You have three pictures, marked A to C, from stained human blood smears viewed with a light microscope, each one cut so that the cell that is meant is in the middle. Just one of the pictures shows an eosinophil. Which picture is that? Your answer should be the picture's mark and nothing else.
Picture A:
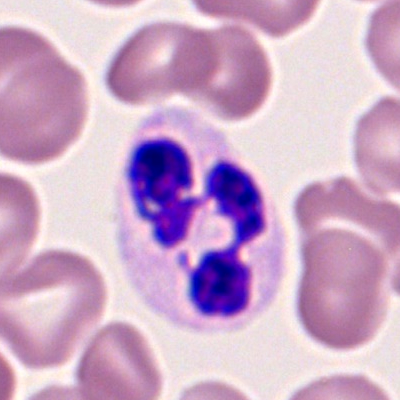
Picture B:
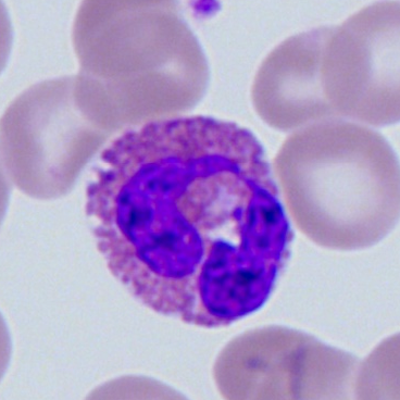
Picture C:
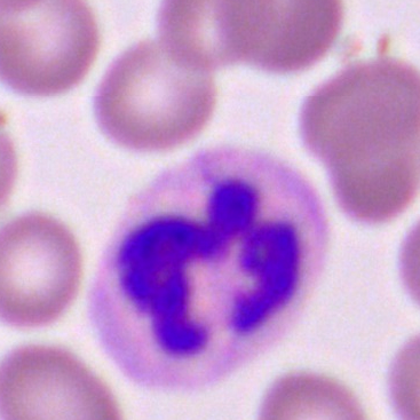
B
